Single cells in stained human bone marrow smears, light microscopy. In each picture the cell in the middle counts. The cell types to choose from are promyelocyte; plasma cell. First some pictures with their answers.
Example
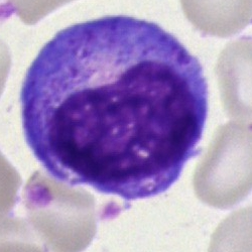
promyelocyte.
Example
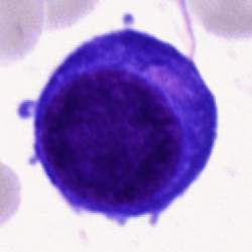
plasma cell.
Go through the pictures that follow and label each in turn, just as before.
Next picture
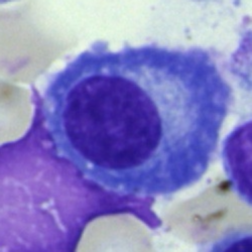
plasma cell.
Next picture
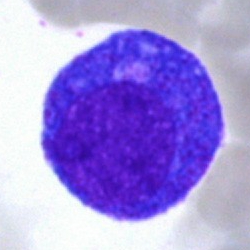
promyelocyte.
